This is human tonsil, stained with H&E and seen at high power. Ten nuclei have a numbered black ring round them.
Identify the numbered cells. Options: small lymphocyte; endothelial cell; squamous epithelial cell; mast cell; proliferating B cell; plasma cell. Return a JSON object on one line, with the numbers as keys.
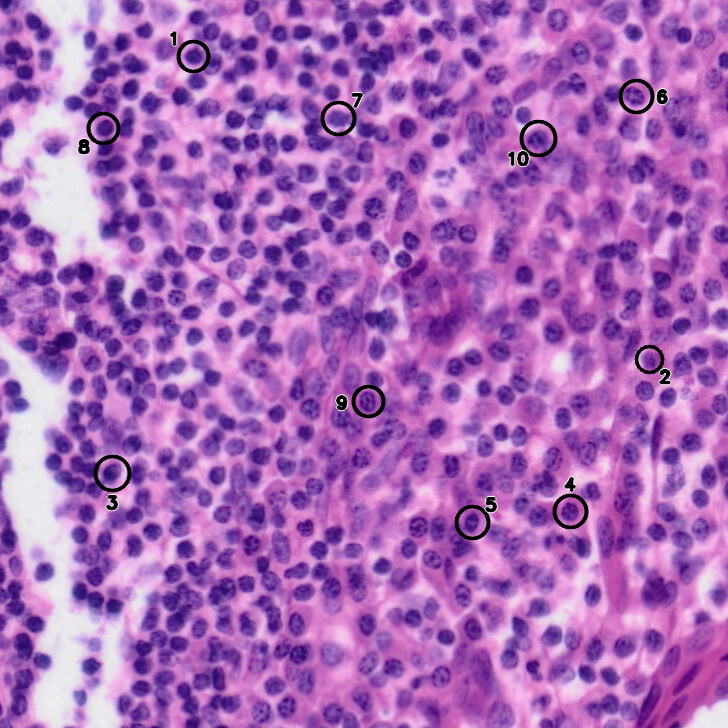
{"1": "small lymphocyte", "2": "plasma cell", "3": "small lymphocyte", "4": "plasma cell", "5": "plasma cell", "6": "plasma cell", "7": "small lymphocyte", "8": "small lymphocyte", "9": "plasma cell", "10": "plasma cell"}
